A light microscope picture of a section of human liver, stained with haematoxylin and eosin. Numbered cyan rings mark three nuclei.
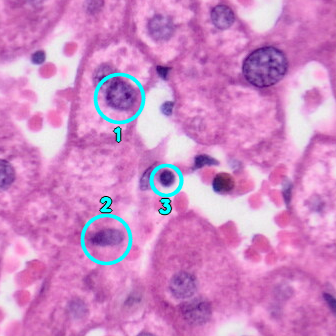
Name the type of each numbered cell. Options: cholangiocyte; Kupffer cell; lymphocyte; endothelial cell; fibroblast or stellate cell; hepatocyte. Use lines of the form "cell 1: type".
cell 1: hepatocyte
cell 2: Kupffer cell
cell 3: lymphocyte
